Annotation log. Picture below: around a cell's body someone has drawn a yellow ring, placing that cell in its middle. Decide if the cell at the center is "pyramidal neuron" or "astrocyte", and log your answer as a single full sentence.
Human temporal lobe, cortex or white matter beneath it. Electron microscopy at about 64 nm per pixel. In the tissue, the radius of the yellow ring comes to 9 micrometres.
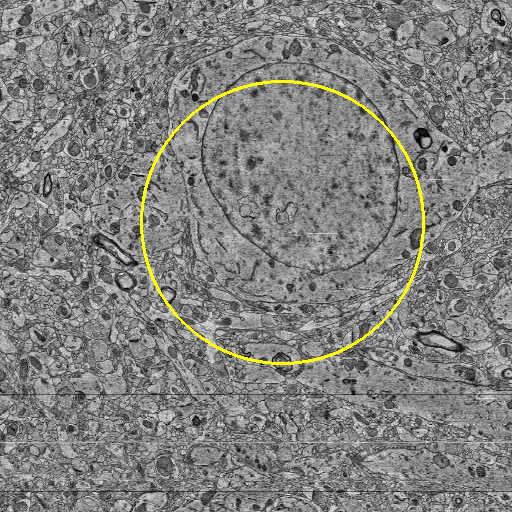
My entry records a pyramidal neuron as the cell sitting at the center of the yellow ring.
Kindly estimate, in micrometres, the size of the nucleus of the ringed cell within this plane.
The nucleus has a long axis of about 15 micrometres and a short axis of about 12 micrometres in this plane.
